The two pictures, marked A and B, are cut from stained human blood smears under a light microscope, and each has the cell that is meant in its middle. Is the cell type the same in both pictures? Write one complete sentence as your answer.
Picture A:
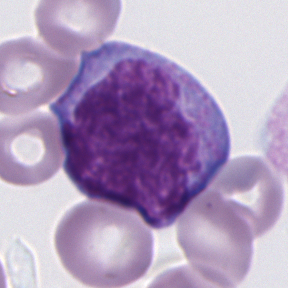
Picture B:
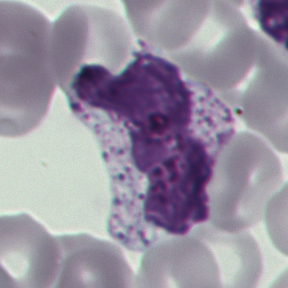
No, the types are not the same, since picture A shows a promyelocyte and picture B a basophil.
